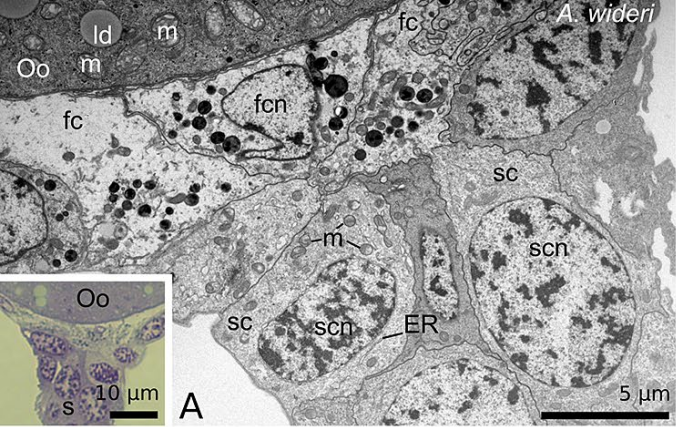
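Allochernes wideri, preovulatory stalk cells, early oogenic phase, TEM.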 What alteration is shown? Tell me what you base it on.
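The labelled stalk cells are roughly as tall as wide. Their cytoplasm holds few organelles.
Conclusion: cuboidal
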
